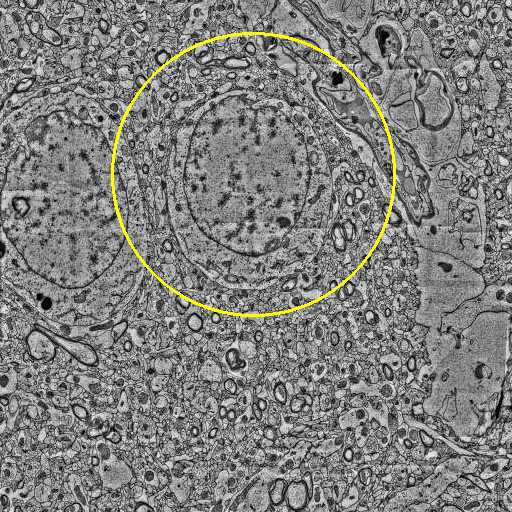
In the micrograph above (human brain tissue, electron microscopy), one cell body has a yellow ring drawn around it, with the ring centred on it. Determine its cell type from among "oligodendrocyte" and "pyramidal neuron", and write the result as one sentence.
The cell whose body is ringed is a pyramidal neuron.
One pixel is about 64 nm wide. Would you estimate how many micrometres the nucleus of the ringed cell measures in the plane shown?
The nucleus of the ringed cell is approximately 10 by 8 micrometres in this plane.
